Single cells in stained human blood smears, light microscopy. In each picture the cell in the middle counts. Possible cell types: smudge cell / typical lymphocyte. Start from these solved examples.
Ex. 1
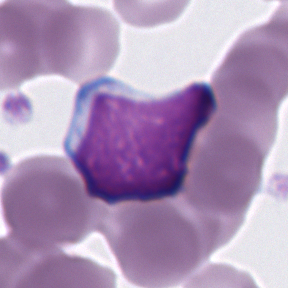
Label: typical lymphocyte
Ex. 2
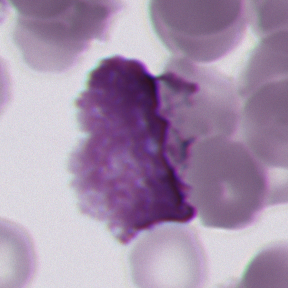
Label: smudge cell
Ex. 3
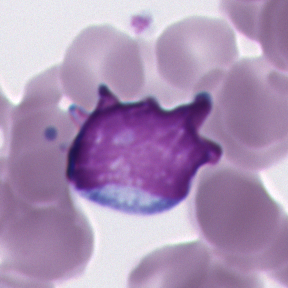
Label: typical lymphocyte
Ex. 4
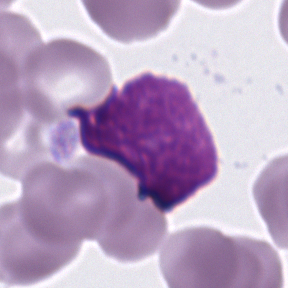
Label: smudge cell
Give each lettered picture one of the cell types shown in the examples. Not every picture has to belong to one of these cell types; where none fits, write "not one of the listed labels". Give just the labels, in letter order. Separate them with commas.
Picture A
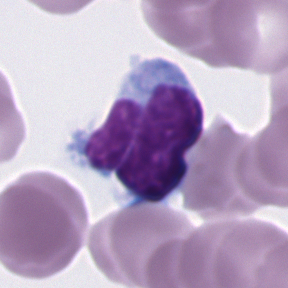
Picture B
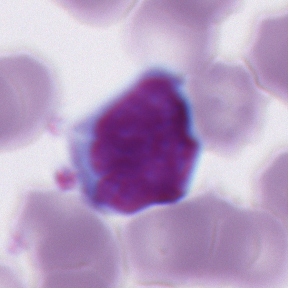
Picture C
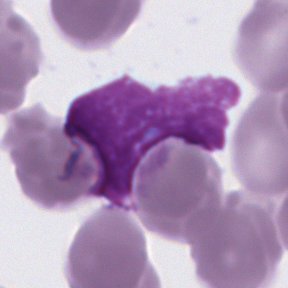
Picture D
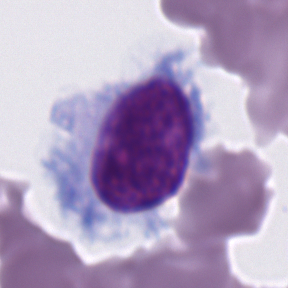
typical lymphocyte, typical lymphocyte, smudge cell, not one of the listed labels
